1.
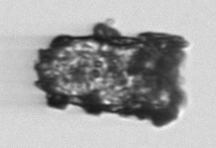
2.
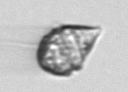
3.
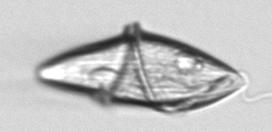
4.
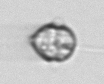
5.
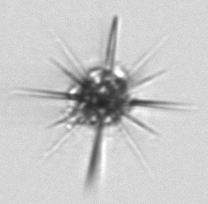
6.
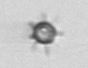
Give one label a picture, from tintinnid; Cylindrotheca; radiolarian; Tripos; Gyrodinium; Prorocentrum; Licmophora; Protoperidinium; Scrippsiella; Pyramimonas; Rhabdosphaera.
1: tintinnid
2: Scrippsiella
3: Gyrodinium
4: Scrippsiella
5: radiolarian
6: Rhabdosphaera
